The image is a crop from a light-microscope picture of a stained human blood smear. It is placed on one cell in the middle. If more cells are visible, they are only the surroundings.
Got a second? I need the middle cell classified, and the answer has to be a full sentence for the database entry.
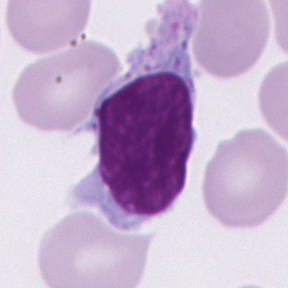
The cell that lies at the centre of the crop is a large granular lymphocyte.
